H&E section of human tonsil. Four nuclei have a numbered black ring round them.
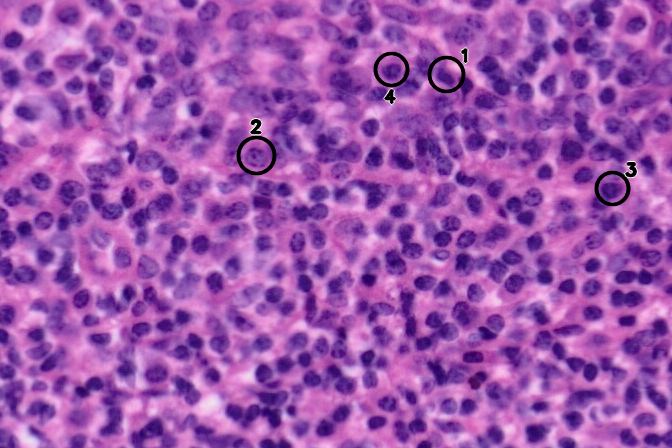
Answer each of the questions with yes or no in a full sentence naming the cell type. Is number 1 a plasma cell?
No, cell 1 is not a plasma cell; a squamous epithelial cell is the correct identification.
